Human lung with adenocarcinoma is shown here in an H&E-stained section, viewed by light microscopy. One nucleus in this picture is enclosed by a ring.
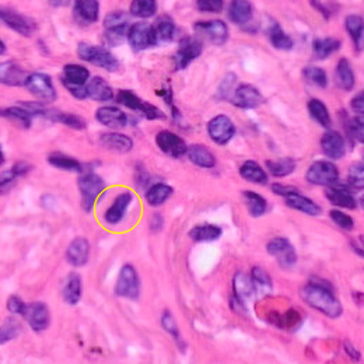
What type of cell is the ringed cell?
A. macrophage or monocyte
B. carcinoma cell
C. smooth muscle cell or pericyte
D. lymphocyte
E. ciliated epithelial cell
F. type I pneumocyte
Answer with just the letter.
D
